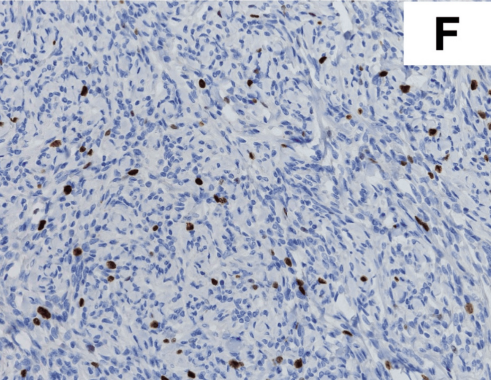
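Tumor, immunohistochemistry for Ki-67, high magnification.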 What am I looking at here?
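A small minority of nuclei are stained dark brown, scattered singly across the field without clustering; the great majority of nuclei remain blue. Cytoplasm and stroma are pale and largely unstained. Nuclei are fairly uniform in size and shape.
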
